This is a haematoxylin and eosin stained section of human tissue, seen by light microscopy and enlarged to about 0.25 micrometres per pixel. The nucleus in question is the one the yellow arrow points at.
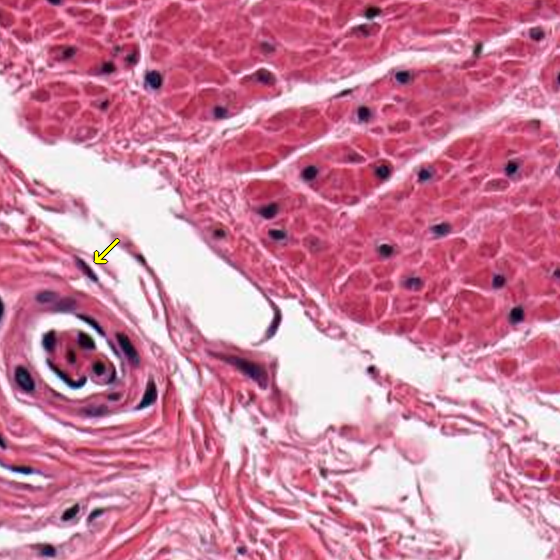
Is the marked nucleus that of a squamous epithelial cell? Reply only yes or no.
no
